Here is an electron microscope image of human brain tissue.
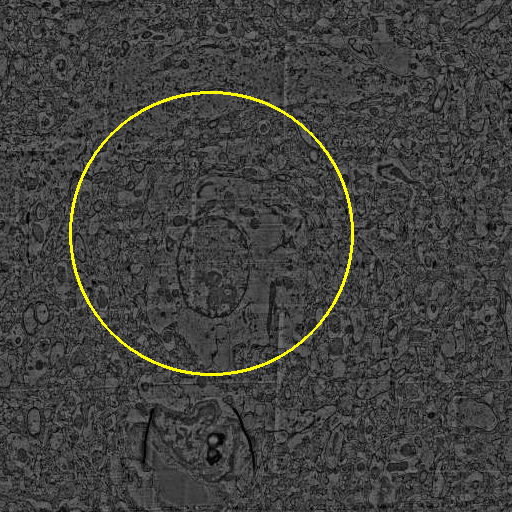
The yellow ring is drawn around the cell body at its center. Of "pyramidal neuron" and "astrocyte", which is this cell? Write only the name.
astrocyte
